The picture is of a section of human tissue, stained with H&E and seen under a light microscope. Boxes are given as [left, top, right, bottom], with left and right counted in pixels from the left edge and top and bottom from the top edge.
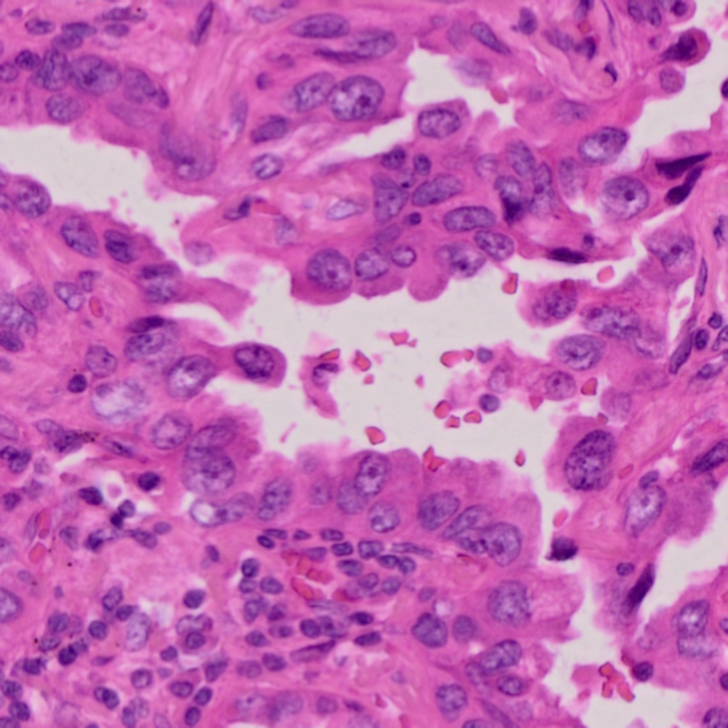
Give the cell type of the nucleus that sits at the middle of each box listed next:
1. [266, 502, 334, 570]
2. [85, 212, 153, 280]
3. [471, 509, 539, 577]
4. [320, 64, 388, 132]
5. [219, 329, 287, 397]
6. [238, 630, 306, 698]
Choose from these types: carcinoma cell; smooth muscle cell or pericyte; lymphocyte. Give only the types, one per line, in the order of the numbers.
lymphocyte
carcinoma cell
carcinoma cell
carcinoma cell
carcinoma cell
lymphocyte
